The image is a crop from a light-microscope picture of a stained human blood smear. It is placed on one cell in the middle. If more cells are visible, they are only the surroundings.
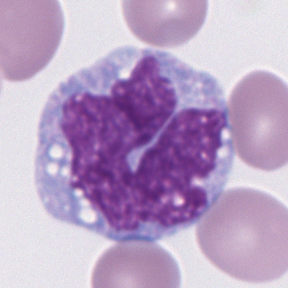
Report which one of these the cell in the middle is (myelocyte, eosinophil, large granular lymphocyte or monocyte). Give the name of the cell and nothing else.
monocyte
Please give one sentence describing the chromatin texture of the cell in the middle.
The chromatin here is fine and lacks any coarse clumps.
